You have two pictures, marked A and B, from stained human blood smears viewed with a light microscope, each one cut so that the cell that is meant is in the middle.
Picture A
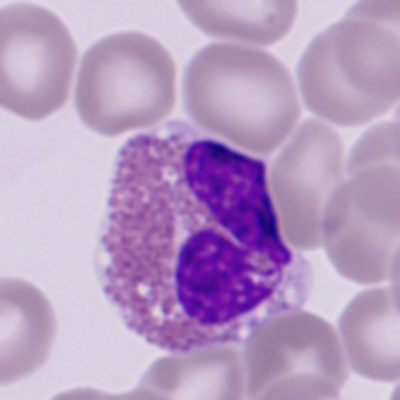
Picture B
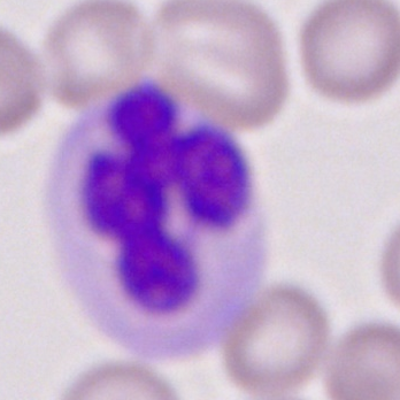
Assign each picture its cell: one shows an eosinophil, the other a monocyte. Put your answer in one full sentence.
Picture B shows a monocyte, while picture A shows an eosinophil.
